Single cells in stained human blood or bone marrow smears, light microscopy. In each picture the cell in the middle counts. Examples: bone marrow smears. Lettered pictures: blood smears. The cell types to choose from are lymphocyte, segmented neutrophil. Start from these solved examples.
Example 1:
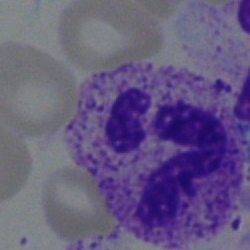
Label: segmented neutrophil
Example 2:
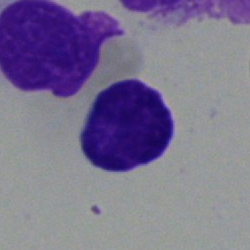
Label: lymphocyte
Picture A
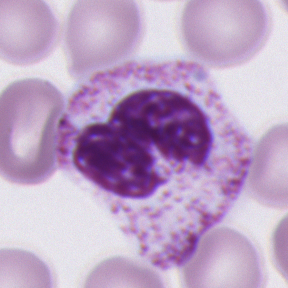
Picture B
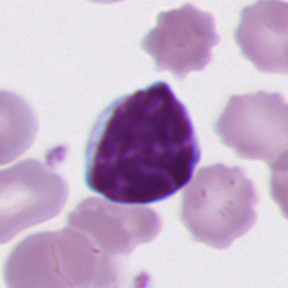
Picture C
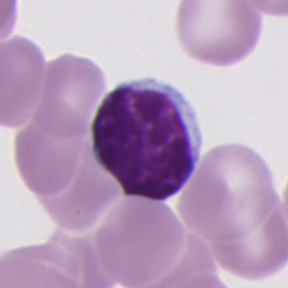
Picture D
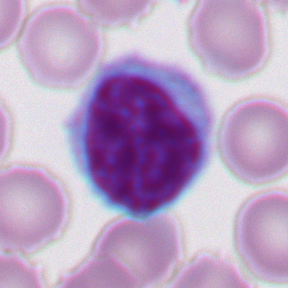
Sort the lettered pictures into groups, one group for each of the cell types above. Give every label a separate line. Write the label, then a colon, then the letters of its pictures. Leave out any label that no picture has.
lymphocyte: B, C, D
segmented neutrophil: A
